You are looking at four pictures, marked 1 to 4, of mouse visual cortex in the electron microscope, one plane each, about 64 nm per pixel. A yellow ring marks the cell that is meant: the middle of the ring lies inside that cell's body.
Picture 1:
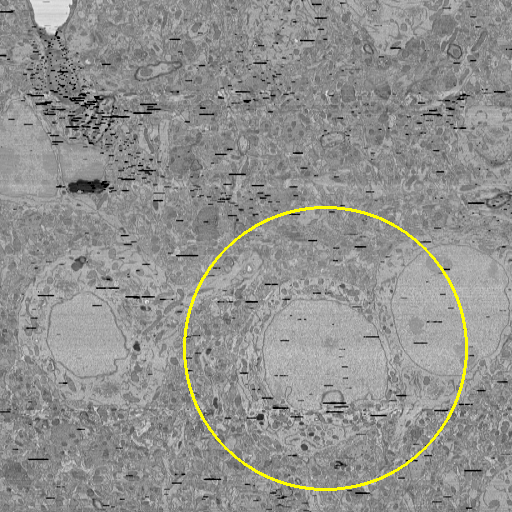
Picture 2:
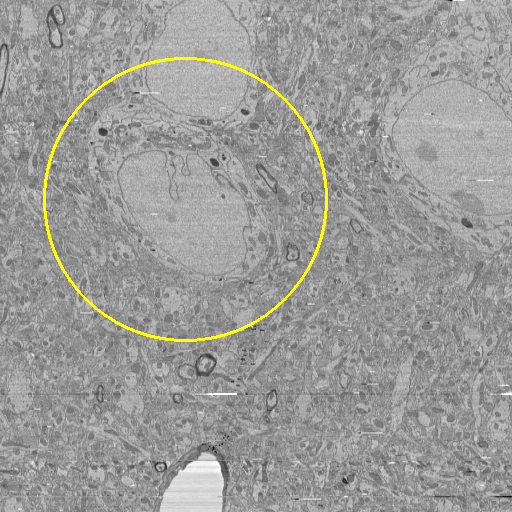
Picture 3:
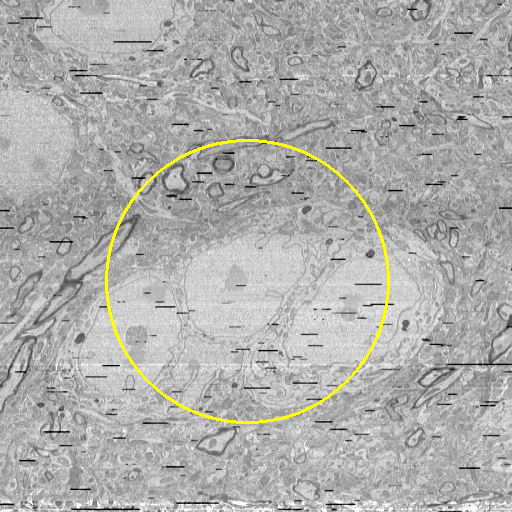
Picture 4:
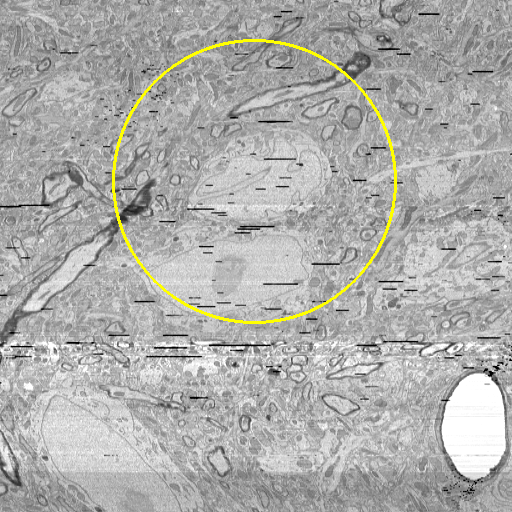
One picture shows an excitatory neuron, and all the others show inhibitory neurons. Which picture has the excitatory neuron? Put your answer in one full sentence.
The excitatory neuron is the one in picture 3.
